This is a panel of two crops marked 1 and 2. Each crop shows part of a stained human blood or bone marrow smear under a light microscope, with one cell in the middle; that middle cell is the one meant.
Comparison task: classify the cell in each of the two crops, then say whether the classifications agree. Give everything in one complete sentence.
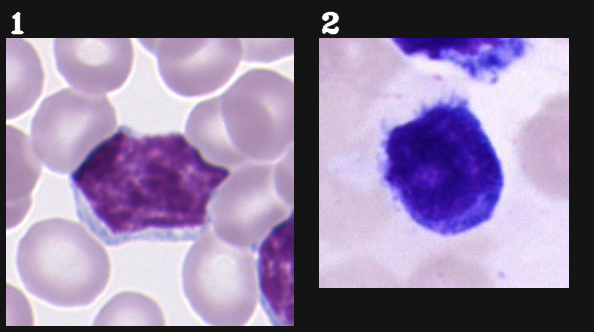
No, at the centre of crop 1 is a lymphocyte, and at the centre of crop 2 is a blast.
